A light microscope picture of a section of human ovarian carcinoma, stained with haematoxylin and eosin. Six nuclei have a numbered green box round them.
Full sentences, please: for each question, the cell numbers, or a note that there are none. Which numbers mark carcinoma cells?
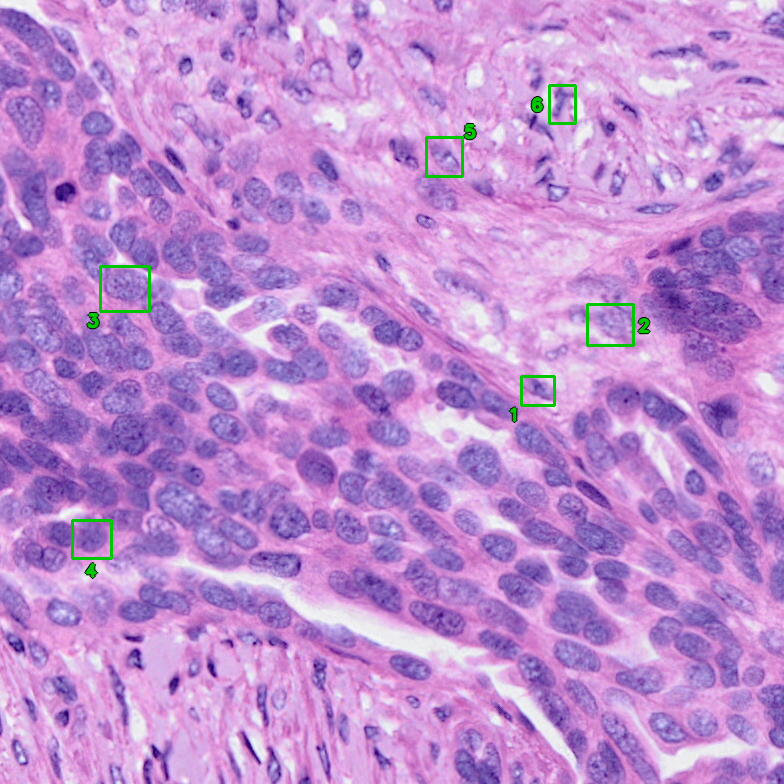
The cells identified by the numbers 3 and 4 are carcinoma cells.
